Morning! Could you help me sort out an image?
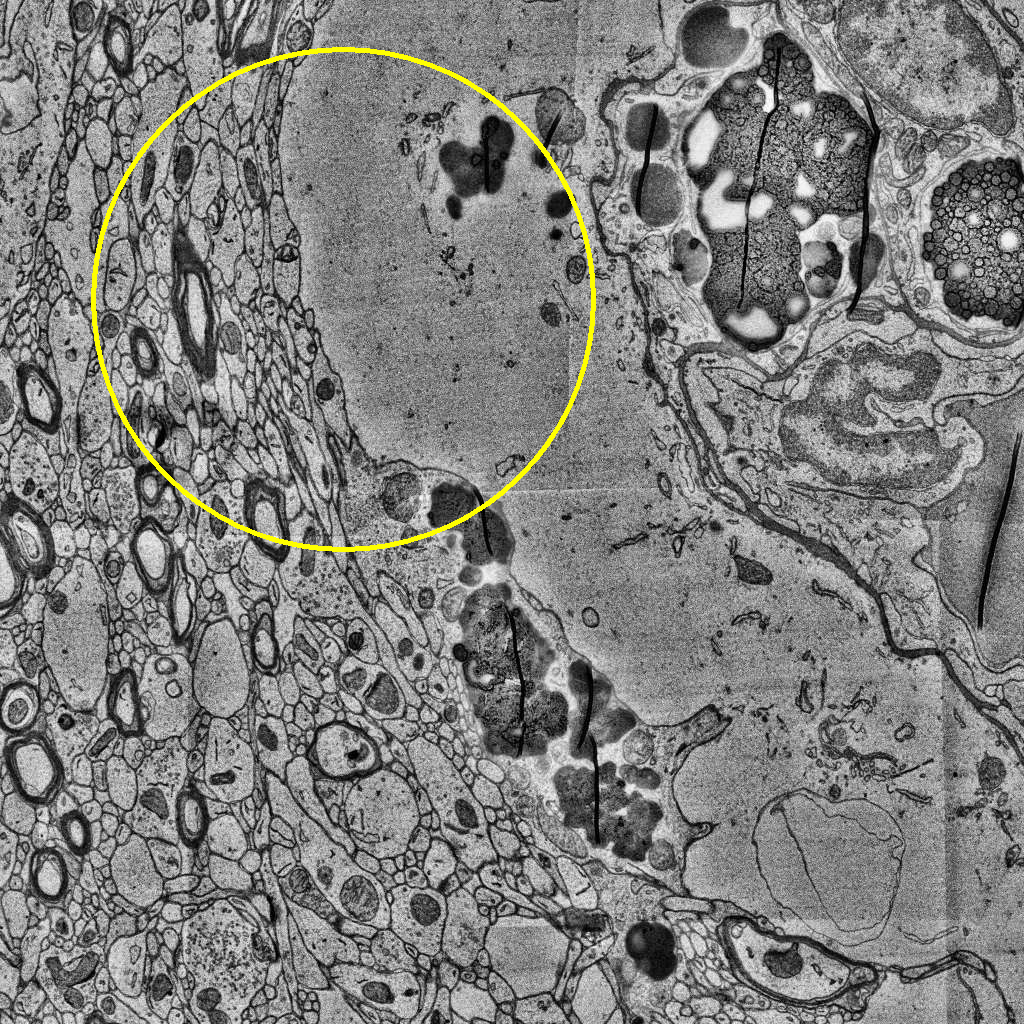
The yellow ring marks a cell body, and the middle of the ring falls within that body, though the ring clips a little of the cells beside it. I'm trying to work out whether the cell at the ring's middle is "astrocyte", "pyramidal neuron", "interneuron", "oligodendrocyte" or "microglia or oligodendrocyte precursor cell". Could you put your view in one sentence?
The cell body at the ring's middle is that of an oligodendrocyte.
